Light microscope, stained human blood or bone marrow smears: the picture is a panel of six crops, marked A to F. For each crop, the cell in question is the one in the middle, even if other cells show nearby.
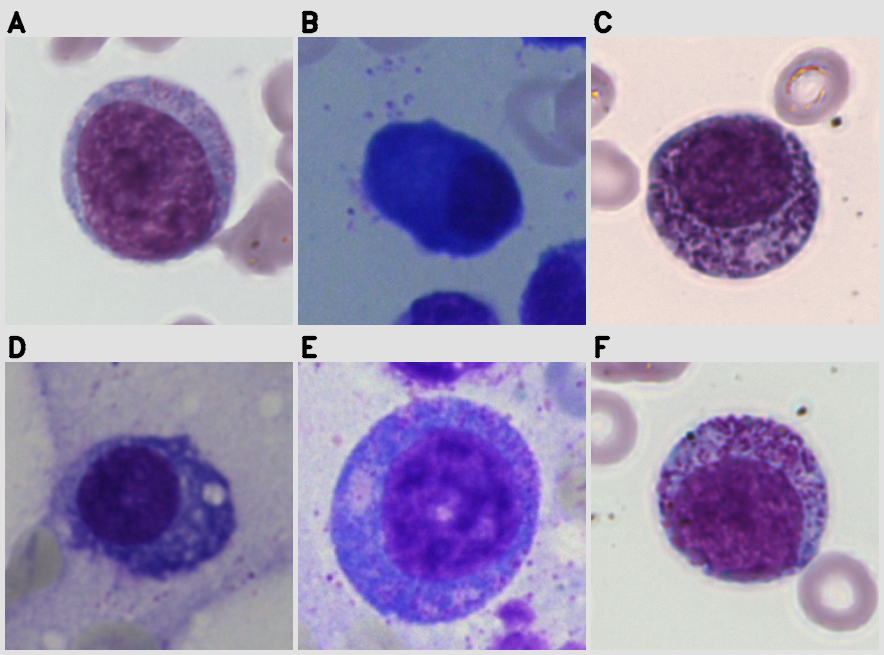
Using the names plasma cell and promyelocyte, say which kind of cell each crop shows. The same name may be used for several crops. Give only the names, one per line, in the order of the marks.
promyelocyte
plasma cell
promyelocyte
plasma cell
promyelocyte
promyelocyte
